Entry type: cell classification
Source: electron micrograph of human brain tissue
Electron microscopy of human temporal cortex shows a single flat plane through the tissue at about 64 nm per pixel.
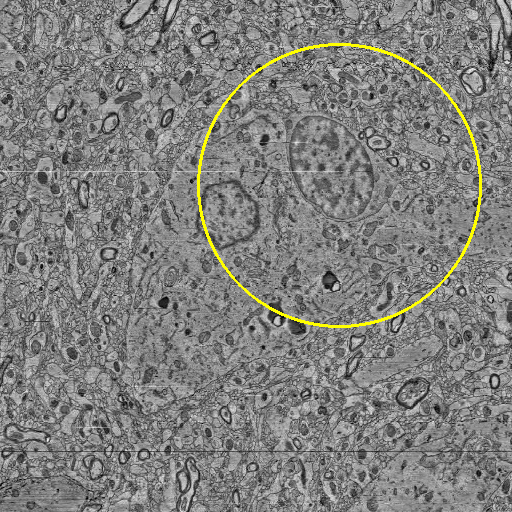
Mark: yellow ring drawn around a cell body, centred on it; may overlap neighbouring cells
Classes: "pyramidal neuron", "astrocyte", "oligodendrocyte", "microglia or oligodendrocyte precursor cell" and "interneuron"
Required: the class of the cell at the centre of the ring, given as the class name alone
oligodendrocyte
